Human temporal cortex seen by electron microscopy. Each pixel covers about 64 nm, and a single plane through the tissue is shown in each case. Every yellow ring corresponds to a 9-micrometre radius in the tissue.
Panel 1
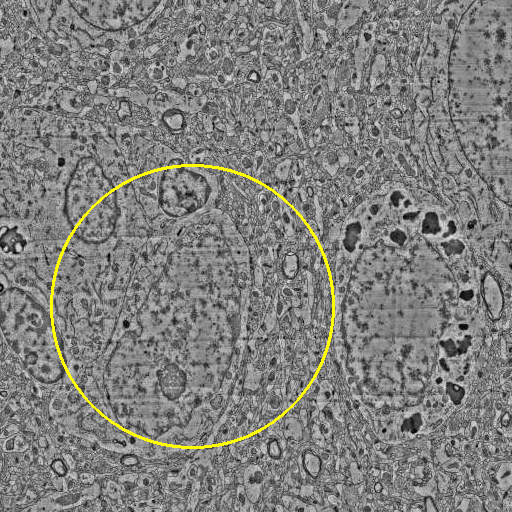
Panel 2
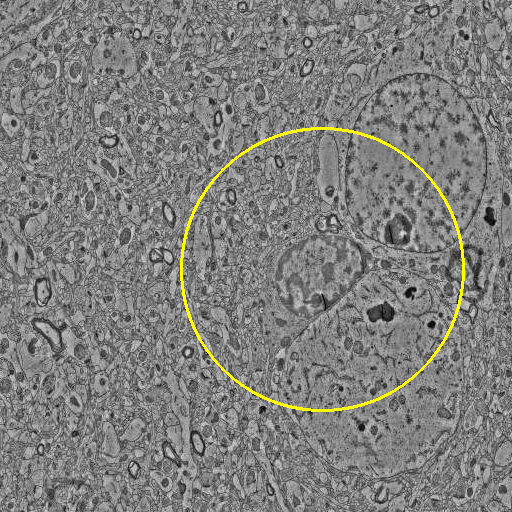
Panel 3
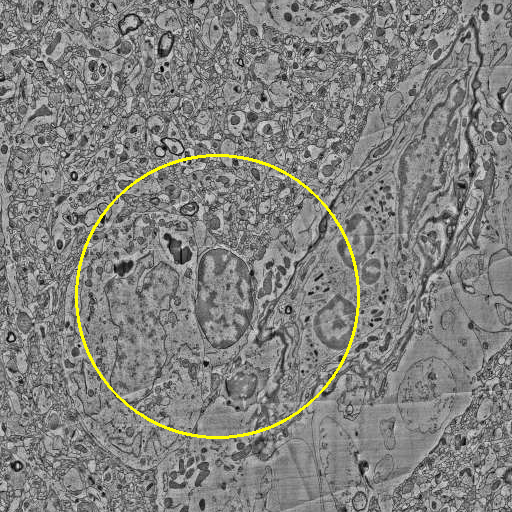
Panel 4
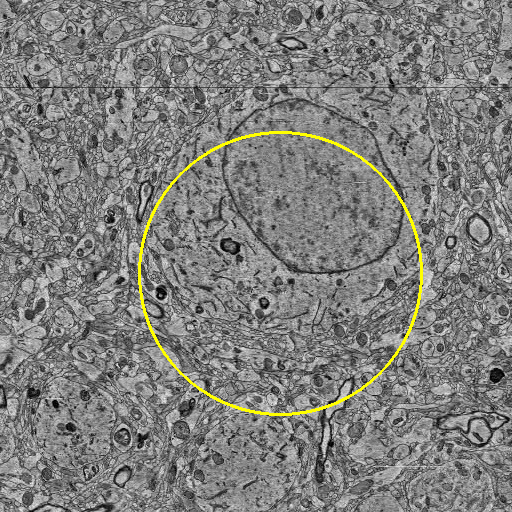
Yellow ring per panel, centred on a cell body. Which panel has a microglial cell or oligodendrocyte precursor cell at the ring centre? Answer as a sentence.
Panel 3 shows it at the ring centre.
